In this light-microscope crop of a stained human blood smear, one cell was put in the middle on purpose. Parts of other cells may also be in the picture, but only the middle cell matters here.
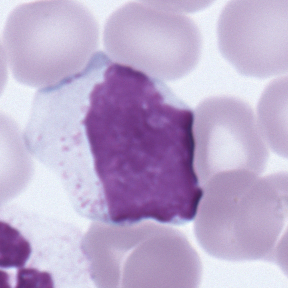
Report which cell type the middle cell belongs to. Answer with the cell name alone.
large granular lymphocyte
